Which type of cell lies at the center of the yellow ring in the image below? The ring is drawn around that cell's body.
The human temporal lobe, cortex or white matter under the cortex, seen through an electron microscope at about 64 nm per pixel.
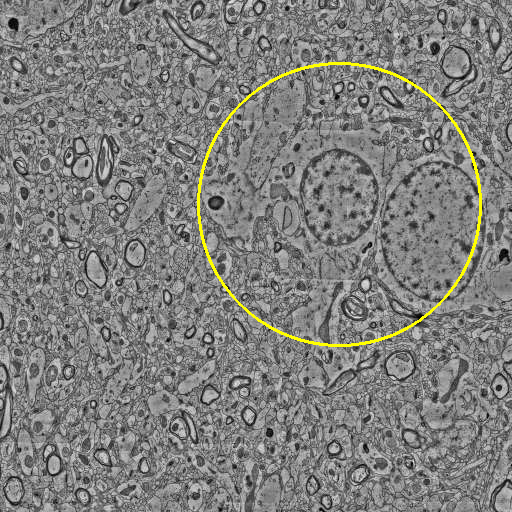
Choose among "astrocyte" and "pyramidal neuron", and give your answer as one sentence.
The cell body at the center belongs to an astrocyte.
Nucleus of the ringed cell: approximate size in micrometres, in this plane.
In this plane, about 6 micrometres in length and 5 in width.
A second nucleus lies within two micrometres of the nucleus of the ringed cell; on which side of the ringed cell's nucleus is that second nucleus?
The other nucleus can be seen to the right of it.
